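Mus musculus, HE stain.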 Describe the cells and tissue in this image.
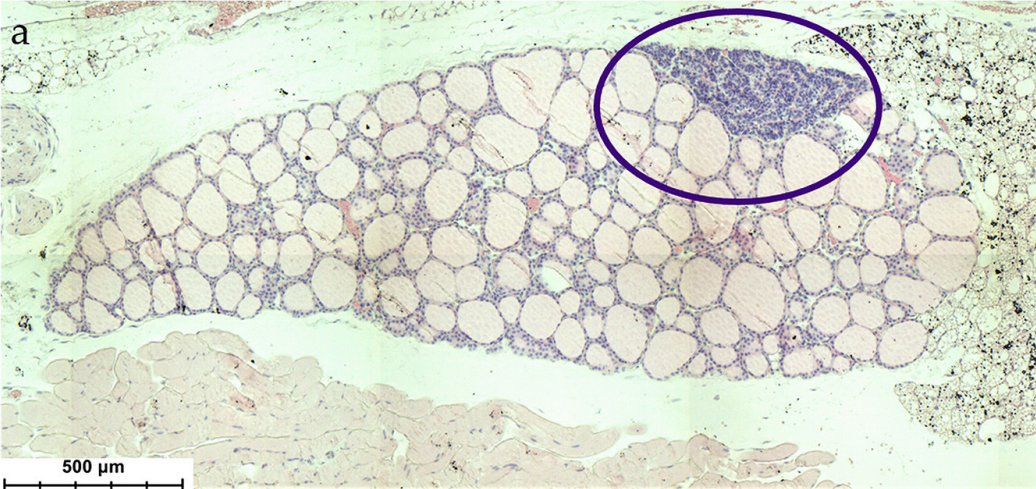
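An elongated organ is made up of many round follicles of varying size, filled with pale pink colloid and lined by a thin layer of epithelial cells. At its upper edge lies a compact, dark purple region of densely packed cells without follicles. Skeletal muscle bundles run below the organ and fatty tissue lies to the right. The follicular organ is the thyroid and the dense region embedded at its edge is the parathyroid gland.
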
